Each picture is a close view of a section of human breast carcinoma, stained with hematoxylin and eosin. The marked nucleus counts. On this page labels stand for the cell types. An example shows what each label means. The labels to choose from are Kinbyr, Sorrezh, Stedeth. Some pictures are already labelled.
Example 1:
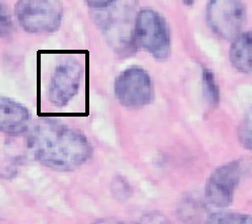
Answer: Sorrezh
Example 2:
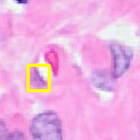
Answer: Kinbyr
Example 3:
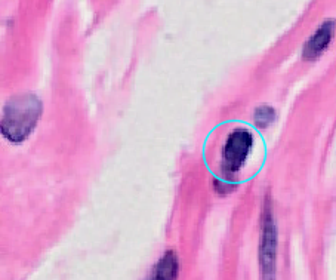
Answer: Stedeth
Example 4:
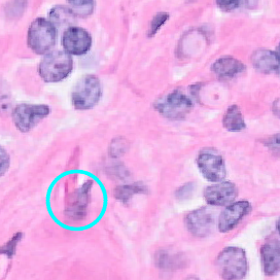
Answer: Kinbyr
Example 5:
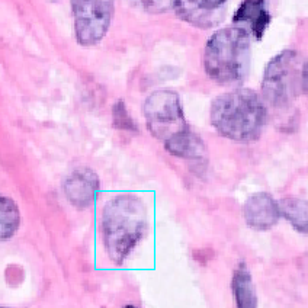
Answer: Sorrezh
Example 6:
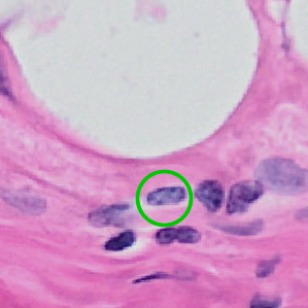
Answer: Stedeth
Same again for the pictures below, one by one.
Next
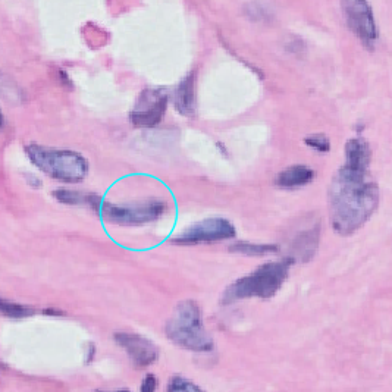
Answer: Kinbyr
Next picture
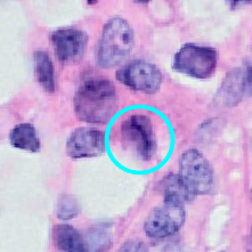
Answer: Sorrezh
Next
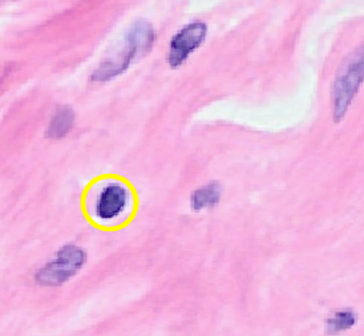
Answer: Stedeth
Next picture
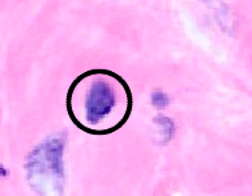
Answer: Stedeth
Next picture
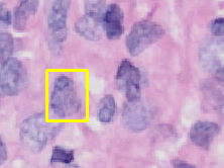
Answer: Sorrezh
